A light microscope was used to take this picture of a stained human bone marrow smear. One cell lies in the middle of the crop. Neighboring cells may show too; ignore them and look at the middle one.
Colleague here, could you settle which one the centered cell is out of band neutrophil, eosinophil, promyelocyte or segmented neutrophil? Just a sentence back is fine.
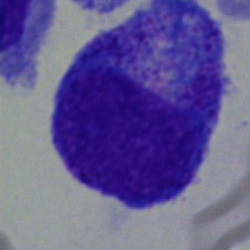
The cell around which this crop is centred is a promyelocyte.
